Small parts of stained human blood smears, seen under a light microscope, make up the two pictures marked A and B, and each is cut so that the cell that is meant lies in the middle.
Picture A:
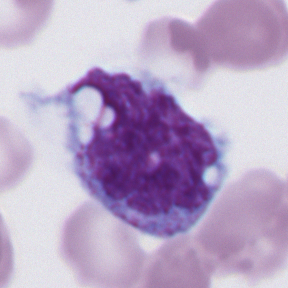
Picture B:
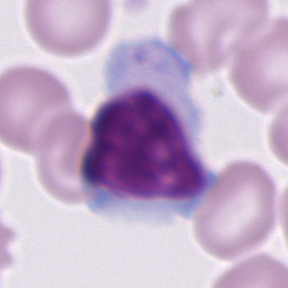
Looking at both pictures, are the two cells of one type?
no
